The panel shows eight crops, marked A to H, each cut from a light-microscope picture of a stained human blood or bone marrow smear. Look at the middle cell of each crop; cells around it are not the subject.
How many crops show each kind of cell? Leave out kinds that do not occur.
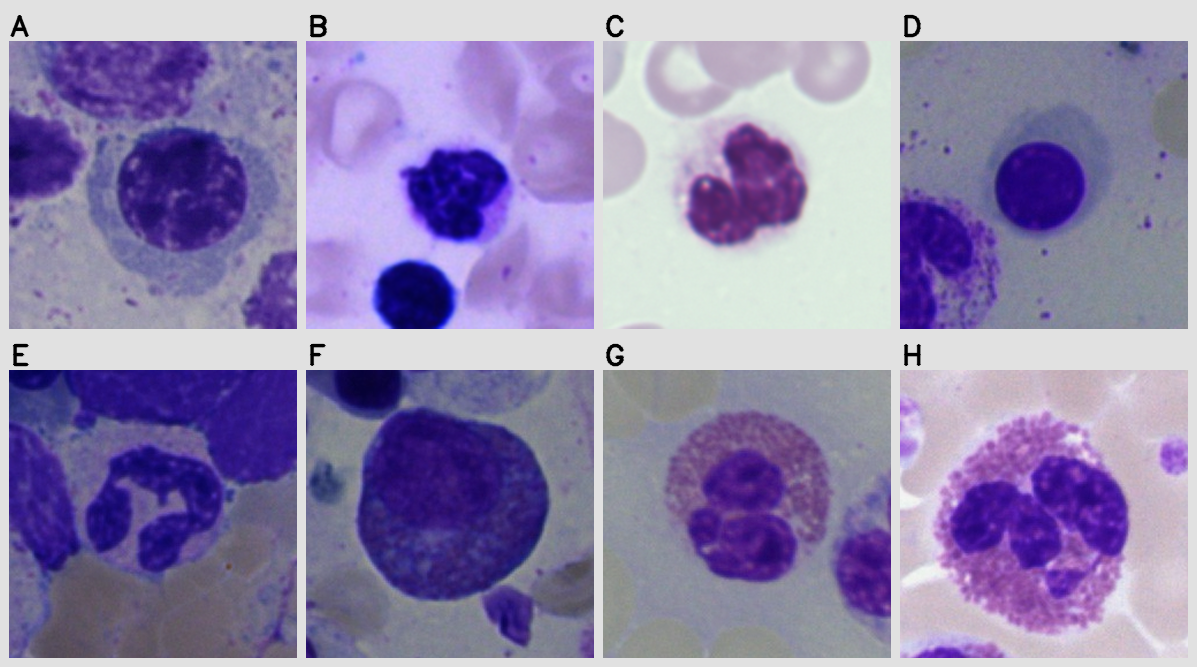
segmented neutrophil: 3
eosinophil: 3
erythroblast: 2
